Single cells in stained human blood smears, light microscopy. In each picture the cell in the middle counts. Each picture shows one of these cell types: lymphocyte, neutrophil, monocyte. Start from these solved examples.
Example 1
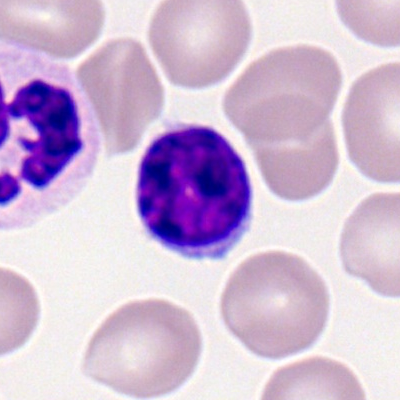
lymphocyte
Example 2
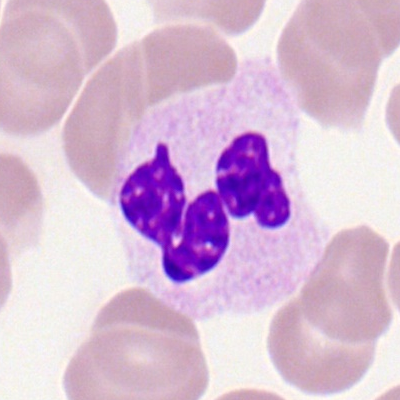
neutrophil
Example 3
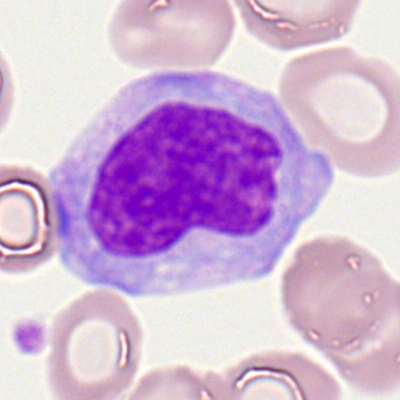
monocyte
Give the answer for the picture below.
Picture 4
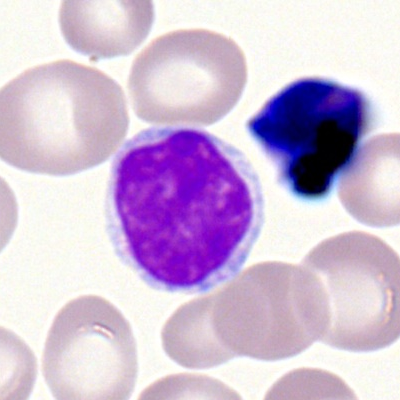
lymphocyte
